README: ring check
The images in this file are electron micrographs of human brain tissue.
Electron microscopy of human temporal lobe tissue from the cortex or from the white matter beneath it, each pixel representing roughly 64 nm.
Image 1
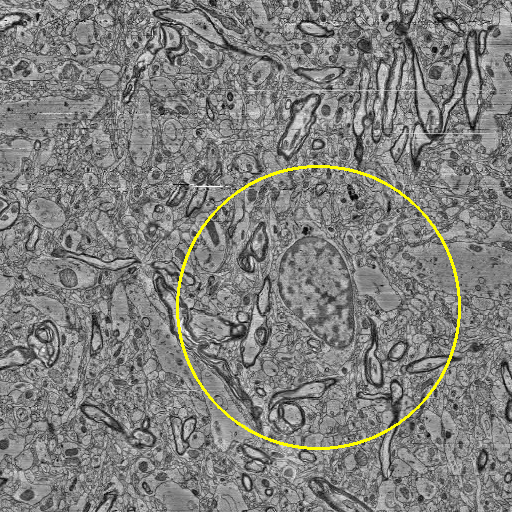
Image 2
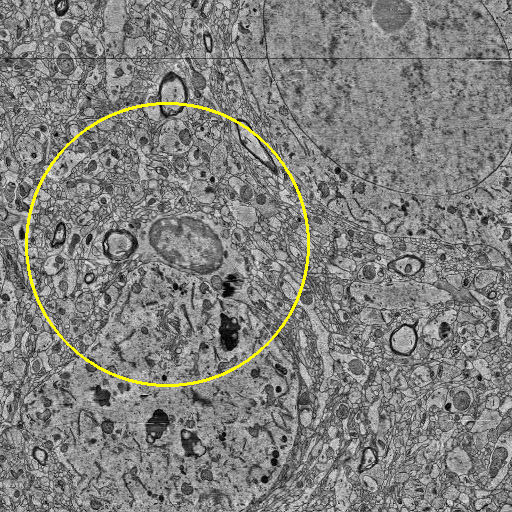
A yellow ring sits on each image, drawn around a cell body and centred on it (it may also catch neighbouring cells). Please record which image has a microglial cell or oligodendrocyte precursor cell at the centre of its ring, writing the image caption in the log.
Image 1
